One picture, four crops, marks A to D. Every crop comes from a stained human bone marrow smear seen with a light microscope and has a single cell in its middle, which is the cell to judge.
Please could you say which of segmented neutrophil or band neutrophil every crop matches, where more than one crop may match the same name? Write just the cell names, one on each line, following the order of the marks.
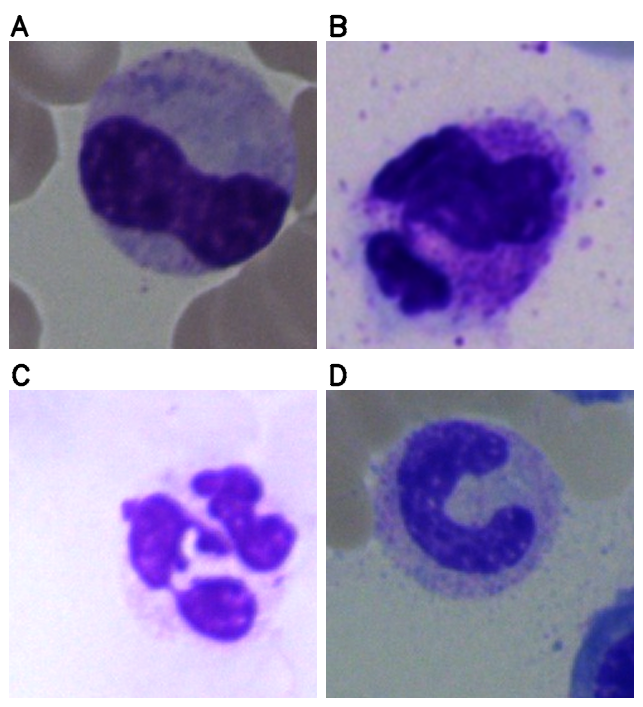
band neutrophil
segmented neutrophil
segmented neutrophil
band neutrophil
